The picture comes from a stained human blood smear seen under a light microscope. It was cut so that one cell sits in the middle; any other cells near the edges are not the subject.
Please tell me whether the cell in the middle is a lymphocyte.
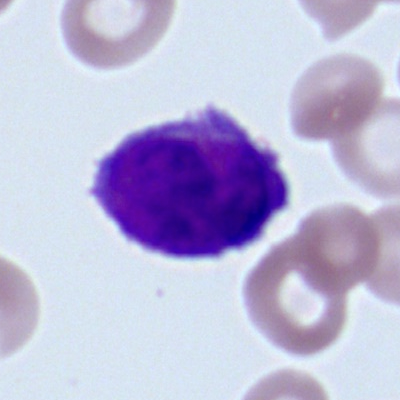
no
